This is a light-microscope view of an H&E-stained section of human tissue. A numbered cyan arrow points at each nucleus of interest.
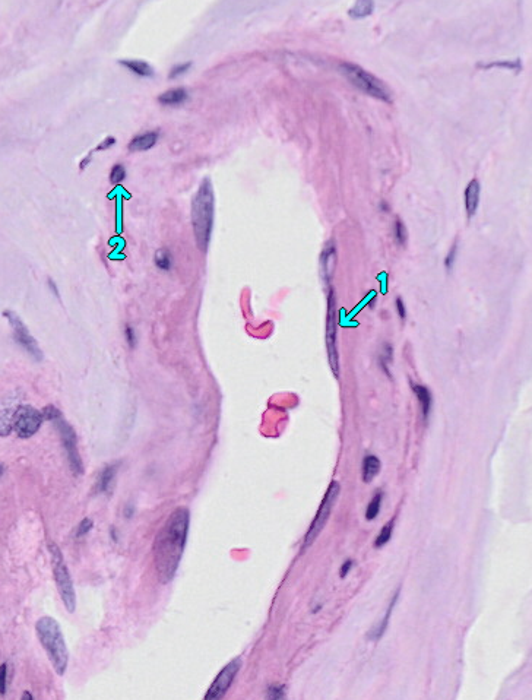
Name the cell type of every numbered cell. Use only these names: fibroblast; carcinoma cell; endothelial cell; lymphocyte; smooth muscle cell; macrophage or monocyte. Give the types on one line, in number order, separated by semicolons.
endothelial cell; smooth muscle cell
